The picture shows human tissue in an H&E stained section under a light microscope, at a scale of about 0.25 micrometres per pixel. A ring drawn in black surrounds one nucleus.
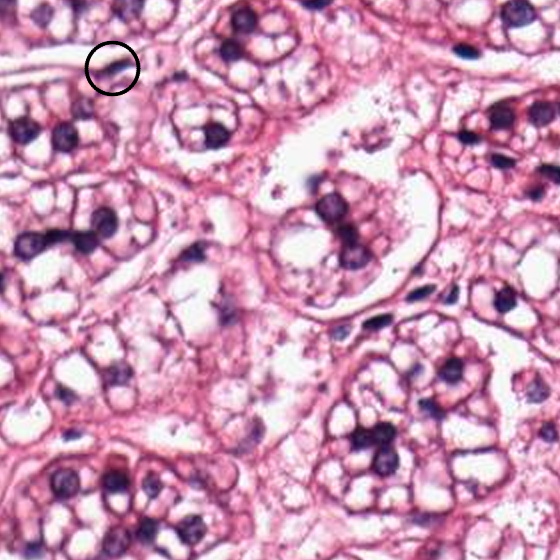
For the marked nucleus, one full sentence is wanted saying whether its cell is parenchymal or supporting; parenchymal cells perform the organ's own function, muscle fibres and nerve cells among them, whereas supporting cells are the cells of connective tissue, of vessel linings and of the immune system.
The marked nucleus is found in a supporting cell.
